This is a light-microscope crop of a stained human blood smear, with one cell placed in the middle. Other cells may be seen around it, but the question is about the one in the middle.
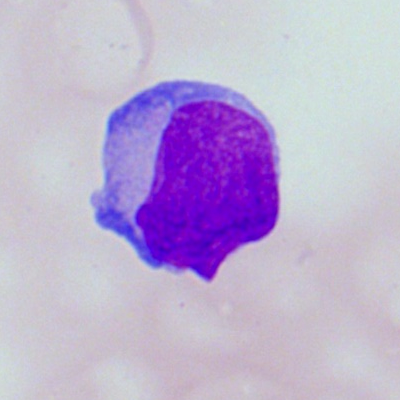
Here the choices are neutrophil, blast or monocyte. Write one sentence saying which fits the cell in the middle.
The cell in the middle of this crop is a blast.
